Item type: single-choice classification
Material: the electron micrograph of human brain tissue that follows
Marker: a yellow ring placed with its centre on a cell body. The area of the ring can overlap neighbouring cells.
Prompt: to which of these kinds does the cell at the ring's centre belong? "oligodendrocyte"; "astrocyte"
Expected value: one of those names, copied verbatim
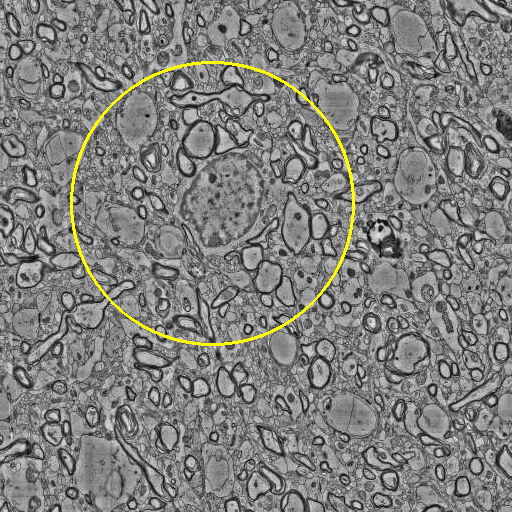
oligodendrocyte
